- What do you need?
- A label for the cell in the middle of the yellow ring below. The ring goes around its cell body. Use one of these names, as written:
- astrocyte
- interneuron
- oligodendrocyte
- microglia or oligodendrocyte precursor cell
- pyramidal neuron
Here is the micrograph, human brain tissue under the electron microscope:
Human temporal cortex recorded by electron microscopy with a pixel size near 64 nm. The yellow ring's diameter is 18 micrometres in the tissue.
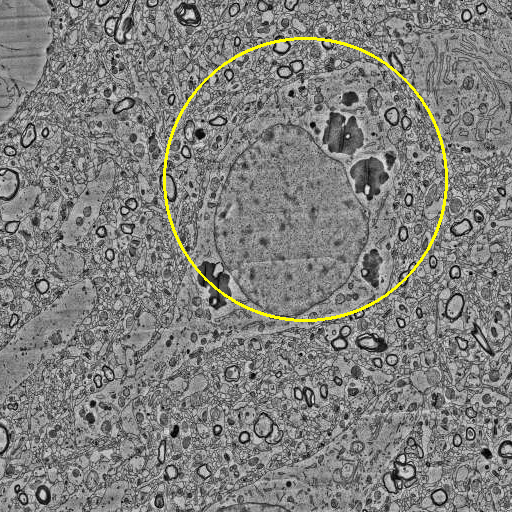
interneuron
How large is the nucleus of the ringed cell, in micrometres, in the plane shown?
The nucleus is approximately 12 micrometers long by 10 micrometers wide in this plane.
